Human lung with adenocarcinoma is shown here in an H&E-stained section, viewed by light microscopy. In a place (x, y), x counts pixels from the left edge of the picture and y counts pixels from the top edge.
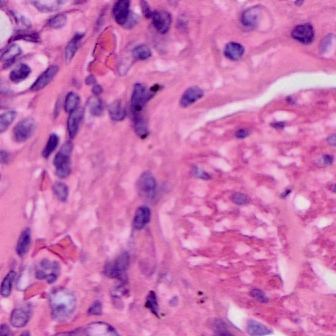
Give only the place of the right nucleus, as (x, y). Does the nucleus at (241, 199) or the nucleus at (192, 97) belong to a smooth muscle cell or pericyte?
(241, 199)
